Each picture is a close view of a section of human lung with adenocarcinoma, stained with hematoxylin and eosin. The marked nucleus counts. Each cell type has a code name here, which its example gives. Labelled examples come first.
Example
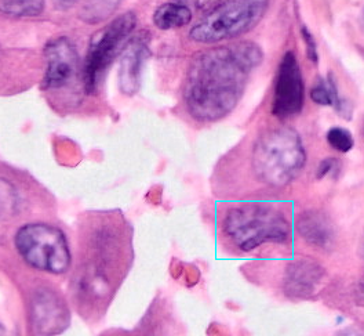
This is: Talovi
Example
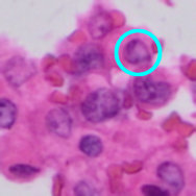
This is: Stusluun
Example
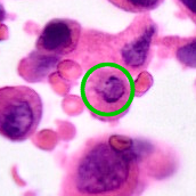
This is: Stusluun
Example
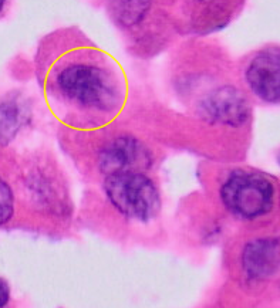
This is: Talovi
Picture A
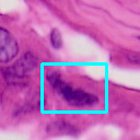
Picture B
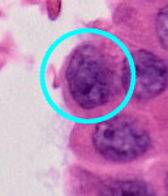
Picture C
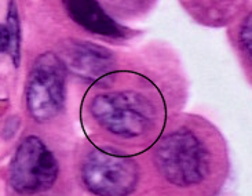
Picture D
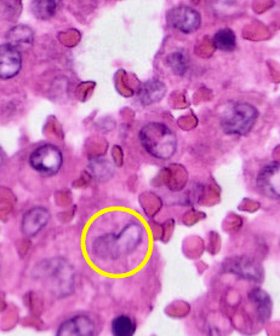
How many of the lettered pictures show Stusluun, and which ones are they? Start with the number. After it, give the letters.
1: D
